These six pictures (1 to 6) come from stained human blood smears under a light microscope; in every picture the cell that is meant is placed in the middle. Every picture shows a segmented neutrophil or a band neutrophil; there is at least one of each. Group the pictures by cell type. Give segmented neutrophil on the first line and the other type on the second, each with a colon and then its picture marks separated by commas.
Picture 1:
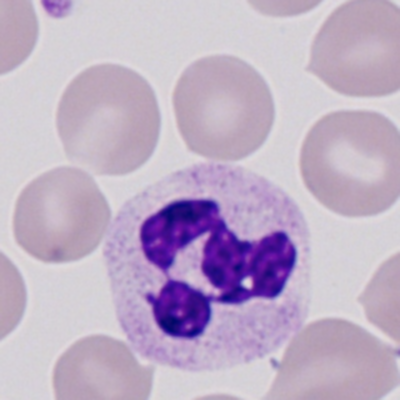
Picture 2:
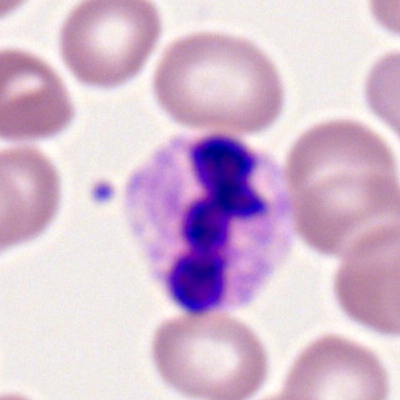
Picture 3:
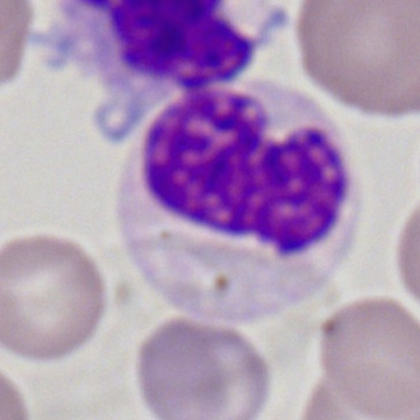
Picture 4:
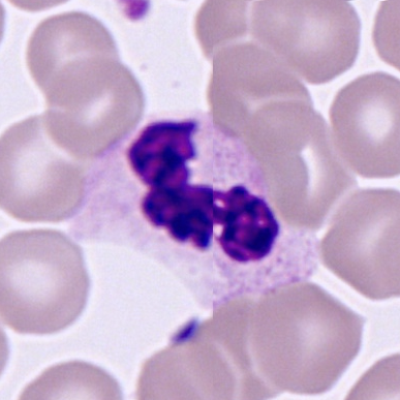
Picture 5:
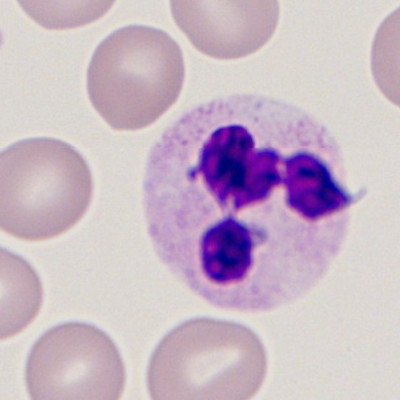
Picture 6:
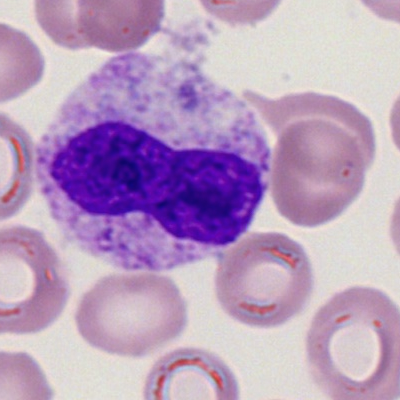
segmented neutrophil: 1, 2, 4, 5
band neutrophil: 3, 6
